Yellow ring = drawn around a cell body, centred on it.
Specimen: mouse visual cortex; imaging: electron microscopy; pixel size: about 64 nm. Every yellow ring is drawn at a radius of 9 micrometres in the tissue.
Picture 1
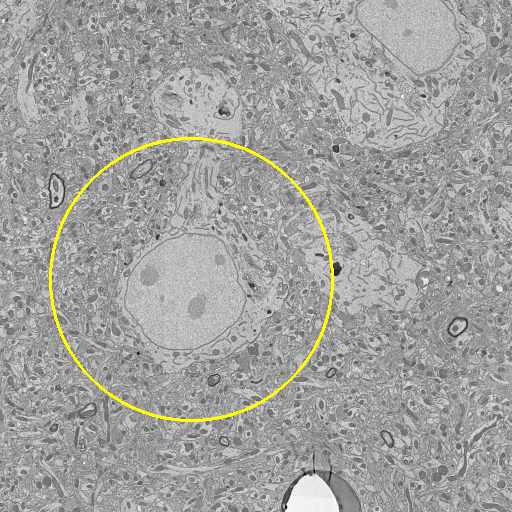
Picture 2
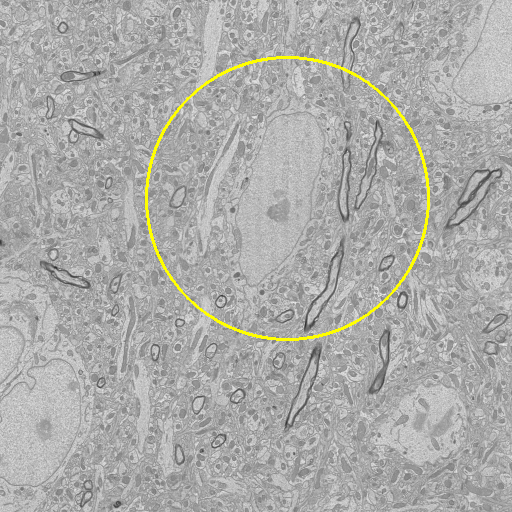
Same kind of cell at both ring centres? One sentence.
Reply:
No, they are two kinds of cell.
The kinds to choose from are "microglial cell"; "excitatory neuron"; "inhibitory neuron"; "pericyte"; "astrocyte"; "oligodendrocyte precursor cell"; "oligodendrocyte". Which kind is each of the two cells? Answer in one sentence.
Of the two, the first cell is an excitatory neuron and the second cell is an inhibitory neuron.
